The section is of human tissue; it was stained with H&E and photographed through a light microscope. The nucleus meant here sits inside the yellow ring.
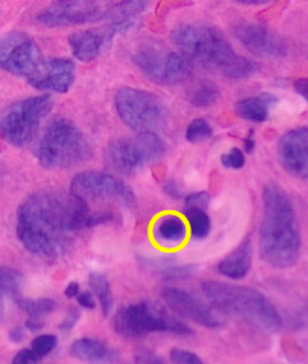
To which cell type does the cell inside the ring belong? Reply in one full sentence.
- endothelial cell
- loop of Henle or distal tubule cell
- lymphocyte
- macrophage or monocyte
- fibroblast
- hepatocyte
The cell meant here is a lymphocyte.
